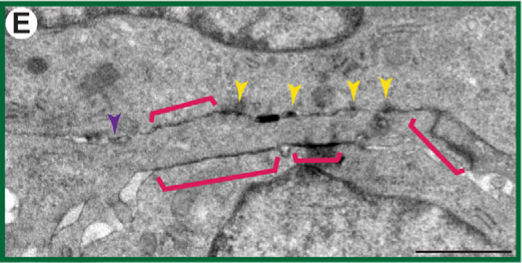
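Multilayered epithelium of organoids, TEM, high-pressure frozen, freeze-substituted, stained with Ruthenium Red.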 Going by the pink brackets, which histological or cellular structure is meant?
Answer: Bar junctions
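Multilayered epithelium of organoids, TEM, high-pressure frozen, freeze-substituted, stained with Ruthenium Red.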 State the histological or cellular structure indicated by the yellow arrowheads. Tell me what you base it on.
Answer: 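Punctate junctions. The dark material extends into the cytoplasm beside the membrane.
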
